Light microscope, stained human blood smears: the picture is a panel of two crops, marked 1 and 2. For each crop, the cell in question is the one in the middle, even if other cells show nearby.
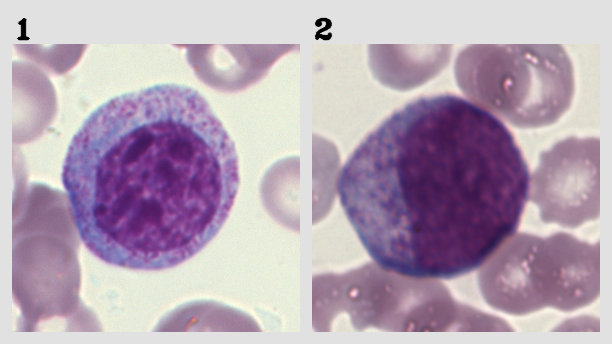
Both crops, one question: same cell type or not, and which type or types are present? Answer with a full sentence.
Yes, both crops show promyelocytes, the one and the other.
